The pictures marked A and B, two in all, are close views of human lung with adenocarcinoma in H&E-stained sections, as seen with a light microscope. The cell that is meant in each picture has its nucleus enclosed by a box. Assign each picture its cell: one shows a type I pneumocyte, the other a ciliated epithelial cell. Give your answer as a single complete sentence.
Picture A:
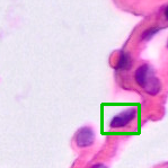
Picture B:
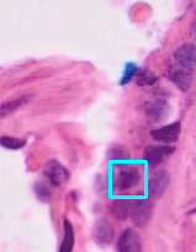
Picture A is of a type I pneumocyte, and picture B is of a ciliated epithelial cell.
